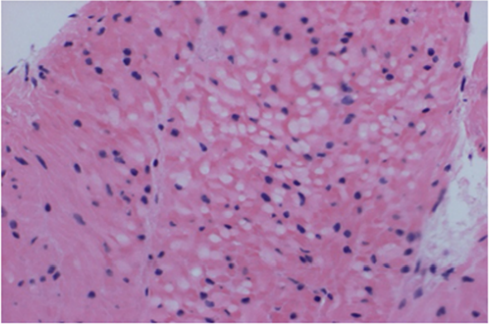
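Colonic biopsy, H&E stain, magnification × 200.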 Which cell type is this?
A: Smooth muscle cells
